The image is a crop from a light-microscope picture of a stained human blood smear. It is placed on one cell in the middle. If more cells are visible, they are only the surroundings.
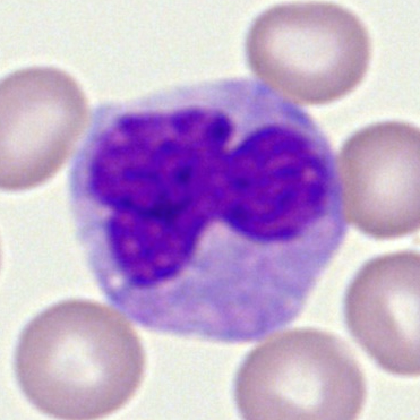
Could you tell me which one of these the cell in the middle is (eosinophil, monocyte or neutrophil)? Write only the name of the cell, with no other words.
monocyte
